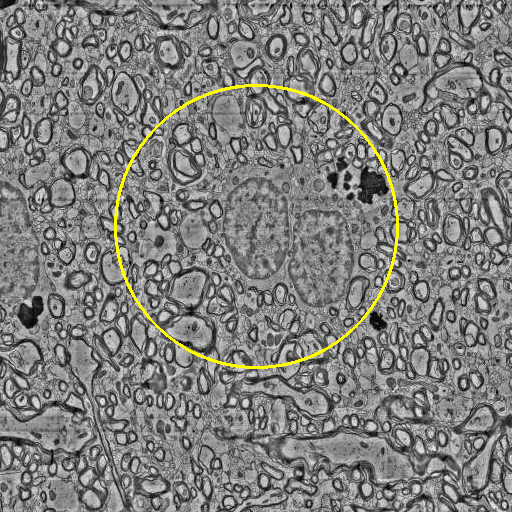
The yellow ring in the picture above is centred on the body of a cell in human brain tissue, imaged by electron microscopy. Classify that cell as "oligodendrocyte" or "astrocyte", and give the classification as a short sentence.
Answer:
The cell in the middle of the ring is an oligodendrocyte.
